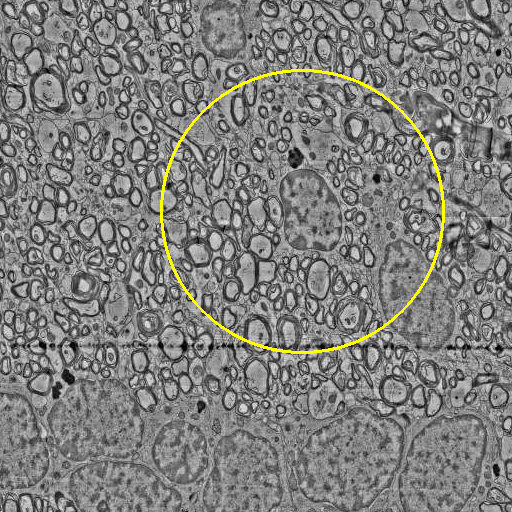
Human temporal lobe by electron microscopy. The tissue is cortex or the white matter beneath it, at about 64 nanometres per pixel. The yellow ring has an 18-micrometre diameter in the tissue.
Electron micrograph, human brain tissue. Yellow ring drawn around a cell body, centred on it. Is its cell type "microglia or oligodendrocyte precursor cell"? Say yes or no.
yes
